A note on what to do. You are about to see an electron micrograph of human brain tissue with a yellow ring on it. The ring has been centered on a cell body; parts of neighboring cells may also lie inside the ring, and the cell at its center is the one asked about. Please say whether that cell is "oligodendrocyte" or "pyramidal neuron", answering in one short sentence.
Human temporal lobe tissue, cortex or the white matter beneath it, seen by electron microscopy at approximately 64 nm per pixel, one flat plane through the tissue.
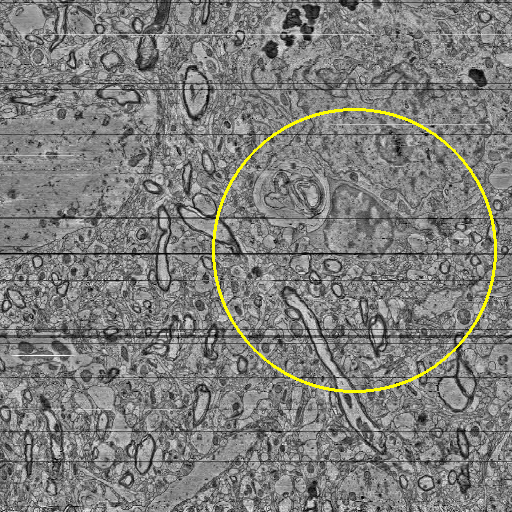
The yellow ring sits on an oligodendrocyte.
